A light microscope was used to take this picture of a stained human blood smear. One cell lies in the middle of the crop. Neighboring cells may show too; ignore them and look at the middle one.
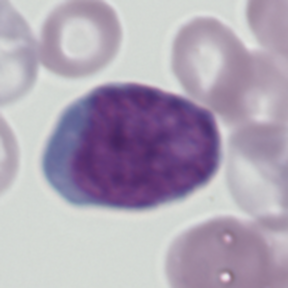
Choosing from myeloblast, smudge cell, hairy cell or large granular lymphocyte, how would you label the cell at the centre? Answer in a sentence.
What sits at the centre of this crop is a myeloblast.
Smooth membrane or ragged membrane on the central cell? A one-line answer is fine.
Its surface contour is regular and smooth, without any protrusions.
